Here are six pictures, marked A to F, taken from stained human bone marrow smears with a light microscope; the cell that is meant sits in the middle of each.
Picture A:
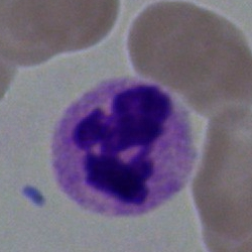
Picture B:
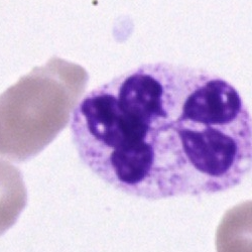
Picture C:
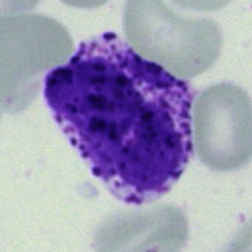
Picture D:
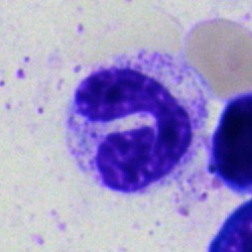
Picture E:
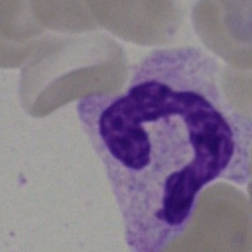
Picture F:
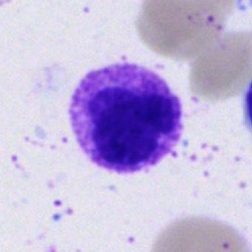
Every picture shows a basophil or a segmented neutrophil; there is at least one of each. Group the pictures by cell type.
A: segmented neutrophil
B: segmented neutrophil
C: basophil
D: segmented neutrophil
E: segmented neutrophil
F: basophil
